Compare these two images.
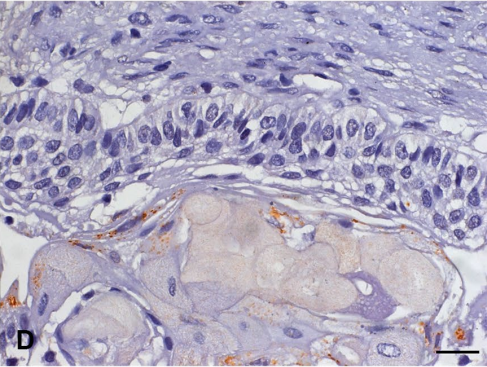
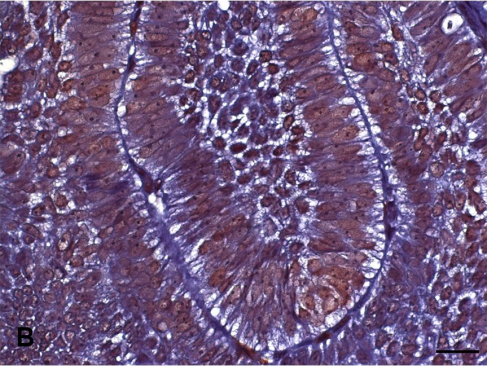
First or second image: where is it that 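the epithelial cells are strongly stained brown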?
the second image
